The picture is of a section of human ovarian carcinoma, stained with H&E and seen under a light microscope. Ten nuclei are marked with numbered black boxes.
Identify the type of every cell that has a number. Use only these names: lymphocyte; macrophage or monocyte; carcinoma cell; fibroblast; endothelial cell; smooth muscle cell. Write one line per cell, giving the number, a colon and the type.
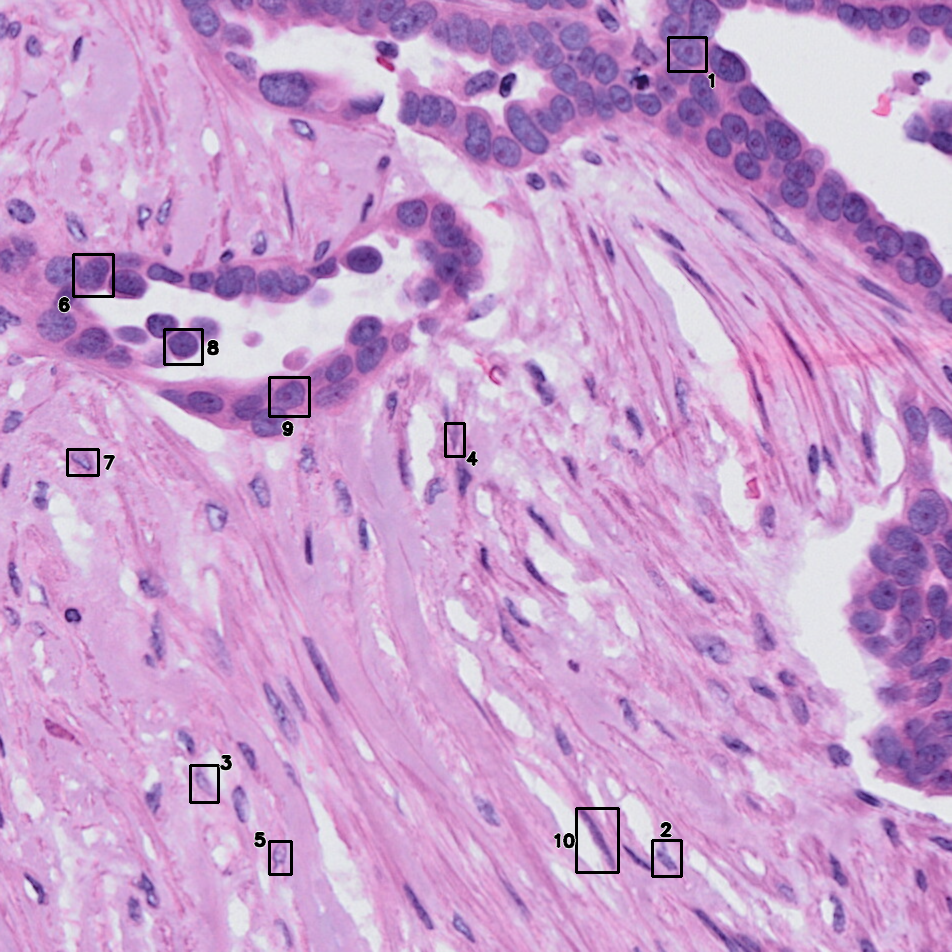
1: carcinoma cell
2: fibroblast
3: fibroblast
4: fibroblast
5: fibroblast
6: carcinoma cell
7: fibroblast
8: carcinoma cell
9: carcinoma cell
10: fibroblast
